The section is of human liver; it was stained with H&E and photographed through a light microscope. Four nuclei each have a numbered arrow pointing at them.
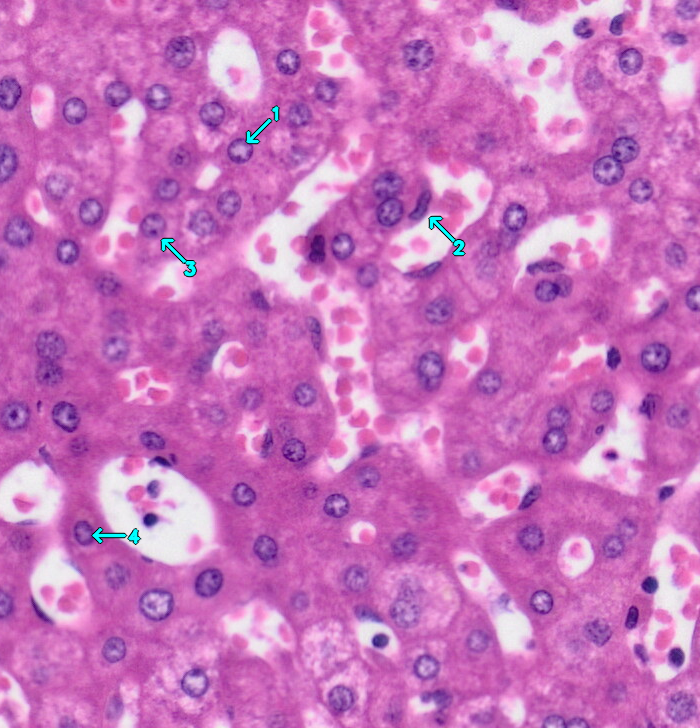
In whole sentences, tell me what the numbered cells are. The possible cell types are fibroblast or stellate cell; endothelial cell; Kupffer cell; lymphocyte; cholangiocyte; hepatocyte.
Cell 1 is a hepatocyte, cell 2 is a Kupffer cell, cell 3 is a hepatocyte and cell 4 is a hepatocyte.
